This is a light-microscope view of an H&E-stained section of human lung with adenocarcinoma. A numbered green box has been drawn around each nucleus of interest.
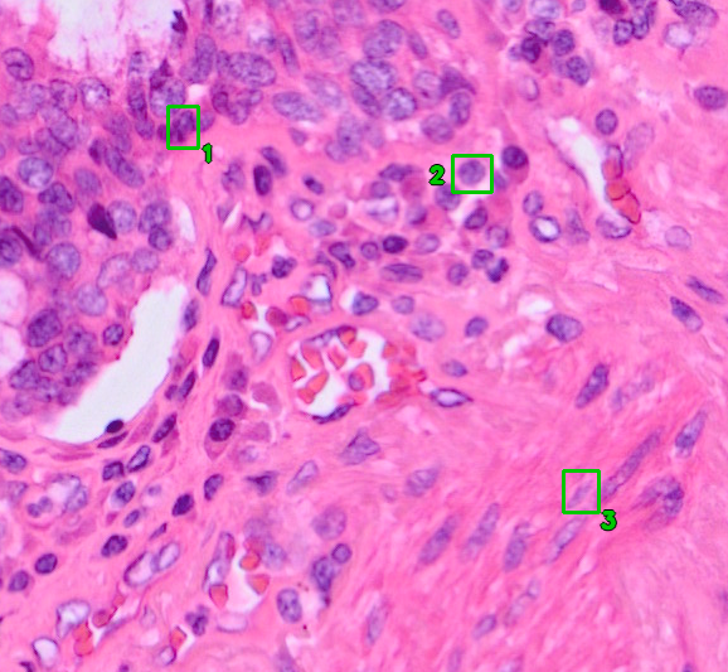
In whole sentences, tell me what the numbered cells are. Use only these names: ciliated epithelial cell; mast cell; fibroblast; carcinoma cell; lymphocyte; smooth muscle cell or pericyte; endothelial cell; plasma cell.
Cell 1 is a ciliated epithelial cell, cell 2 is a lymphocyte and cell 3 is a smooth muscle cell or pericyte.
